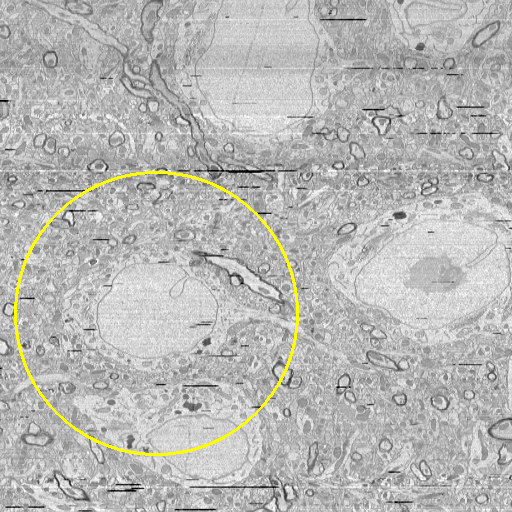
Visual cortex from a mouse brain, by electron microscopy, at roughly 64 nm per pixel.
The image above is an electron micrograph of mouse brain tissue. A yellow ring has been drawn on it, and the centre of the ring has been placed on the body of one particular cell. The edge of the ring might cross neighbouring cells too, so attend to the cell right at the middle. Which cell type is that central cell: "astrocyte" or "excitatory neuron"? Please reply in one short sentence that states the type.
The central cell in the ring is an excitatory neuron.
